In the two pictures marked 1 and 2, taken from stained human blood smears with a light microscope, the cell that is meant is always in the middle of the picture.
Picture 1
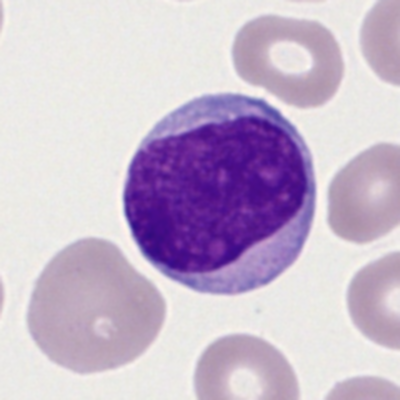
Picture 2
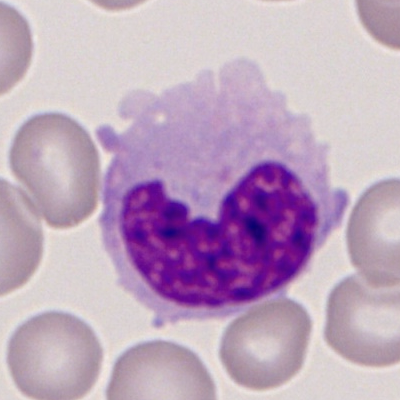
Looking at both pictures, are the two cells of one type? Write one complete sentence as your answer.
No, they differ: the cell is a myeloblast in picture 1 and a monocyte in picture 2.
